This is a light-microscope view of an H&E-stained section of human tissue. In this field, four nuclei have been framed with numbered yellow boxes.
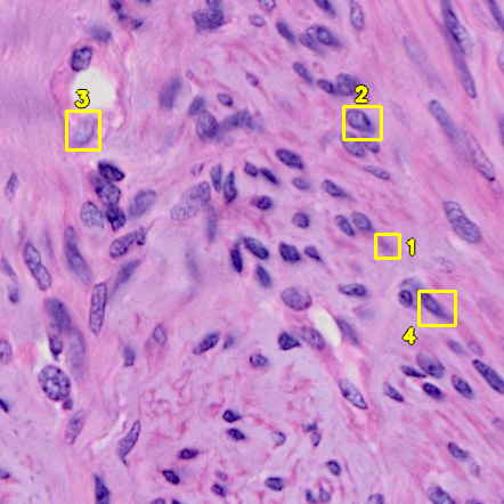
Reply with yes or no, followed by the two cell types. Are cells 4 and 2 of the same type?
Yes, cells 4 and 2 have the same identity; both are smooth muscle cells.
